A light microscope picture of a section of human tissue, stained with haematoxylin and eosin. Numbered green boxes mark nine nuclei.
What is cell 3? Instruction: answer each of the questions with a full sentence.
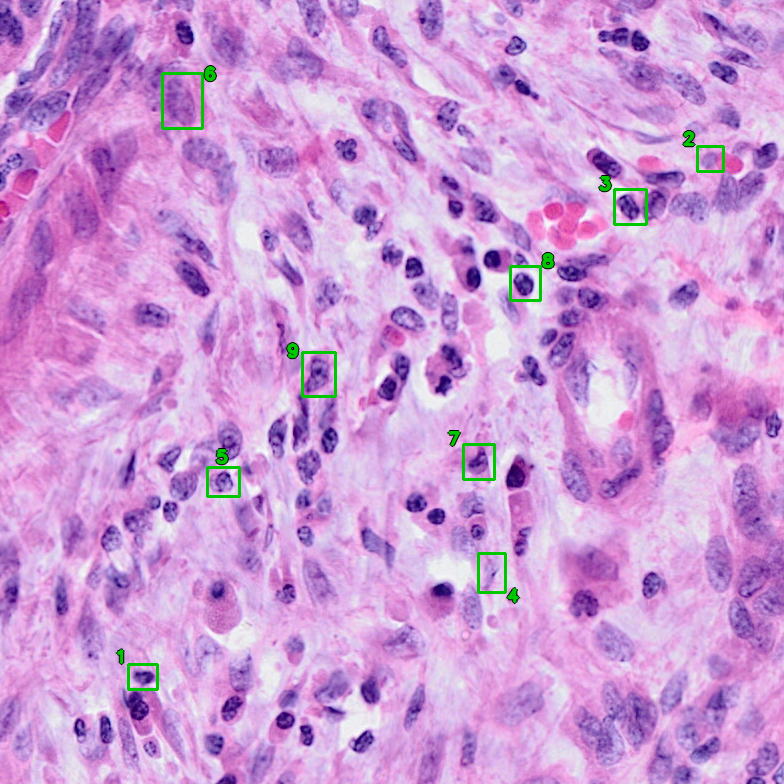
Here, the cell given the number 3 is a lymphocyte.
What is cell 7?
The cell referenced by the number 7 is a macrophage or monocyte in this field.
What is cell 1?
The cell to which the number 1 is assigned is a lymphocyte.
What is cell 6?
Among the marked cells, number 6 is a fibroblast.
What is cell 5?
The nucleus marked 5 is the nucleus of a lymphocyte.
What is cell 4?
The cell indicated with the number 4 is classed as a fibroblast.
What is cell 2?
Marked with the number 2, this cell is an endothelial cell.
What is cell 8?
The cell indicated with the number 8 is classed as a lymphocyte.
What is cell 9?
It is as a macrophage or monocyte that the cell numbered 9 is identified.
